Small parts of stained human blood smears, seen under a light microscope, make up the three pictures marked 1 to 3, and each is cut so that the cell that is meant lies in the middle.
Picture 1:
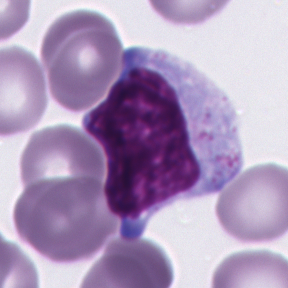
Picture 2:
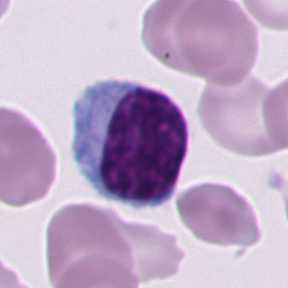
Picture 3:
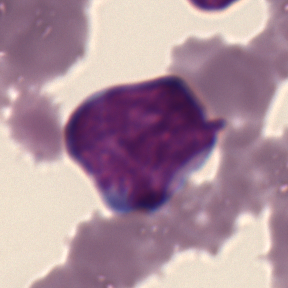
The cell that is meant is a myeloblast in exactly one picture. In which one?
3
